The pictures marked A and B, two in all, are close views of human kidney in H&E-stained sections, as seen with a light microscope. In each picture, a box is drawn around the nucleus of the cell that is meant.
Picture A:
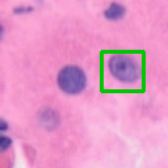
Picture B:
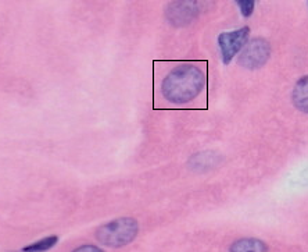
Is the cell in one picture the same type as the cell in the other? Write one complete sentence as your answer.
Yes, the two pictures both show proximal tubule cells.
